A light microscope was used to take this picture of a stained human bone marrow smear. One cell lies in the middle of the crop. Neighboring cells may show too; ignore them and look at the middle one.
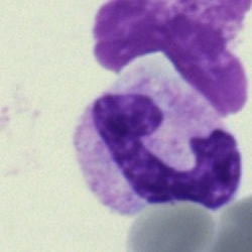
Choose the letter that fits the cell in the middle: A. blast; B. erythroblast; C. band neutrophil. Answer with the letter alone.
C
